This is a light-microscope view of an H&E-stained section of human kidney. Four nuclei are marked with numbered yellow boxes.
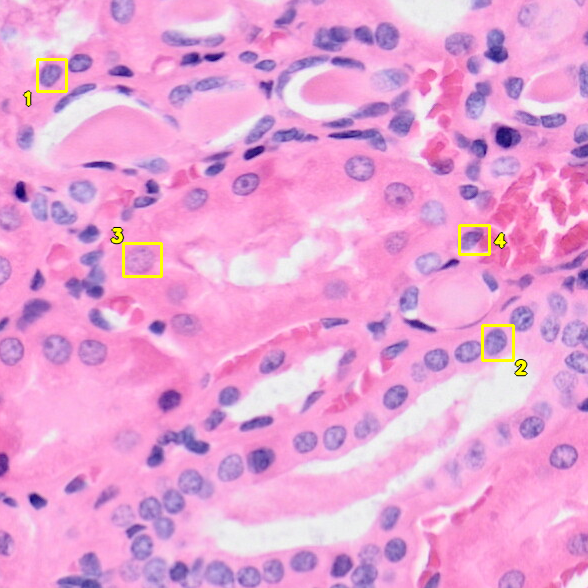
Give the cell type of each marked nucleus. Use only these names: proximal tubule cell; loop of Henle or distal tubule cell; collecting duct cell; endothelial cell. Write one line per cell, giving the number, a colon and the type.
1: loop of Henle or distal tubule cell
2: collecting duct cell
3: proximal tubule cell
4: endothelial cell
